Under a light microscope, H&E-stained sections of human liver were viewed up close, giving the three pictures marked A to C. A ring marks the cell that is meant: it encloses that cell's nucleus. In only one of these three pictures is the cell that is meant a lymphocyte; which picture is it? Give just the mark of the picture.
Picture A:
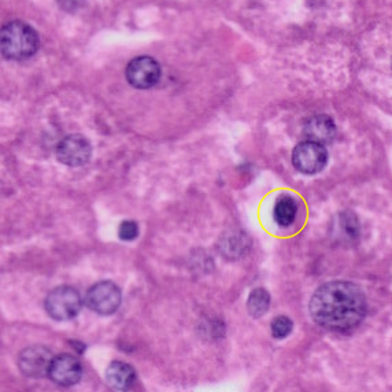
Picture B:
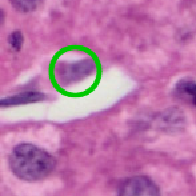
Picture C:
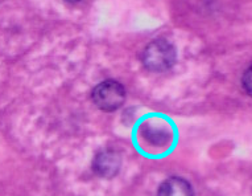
A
